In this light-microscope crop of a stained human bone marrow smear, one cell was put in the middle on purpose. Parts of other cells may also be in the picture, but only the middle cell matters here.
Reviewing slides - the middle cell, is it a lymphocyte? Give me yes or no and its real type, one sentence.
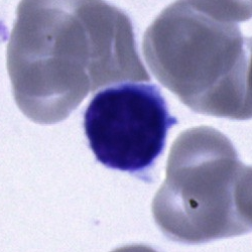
Yes, the cell under consideration, the one in the middle, is a lymphocyte.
